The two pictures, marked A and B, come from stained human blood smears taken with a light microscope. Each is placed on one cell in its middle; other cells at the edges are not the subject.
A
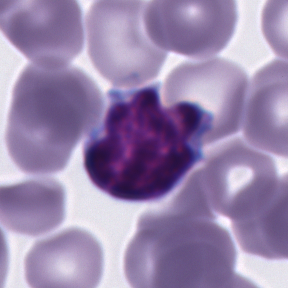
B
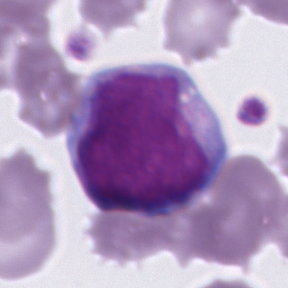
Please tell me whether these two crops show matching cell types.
no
